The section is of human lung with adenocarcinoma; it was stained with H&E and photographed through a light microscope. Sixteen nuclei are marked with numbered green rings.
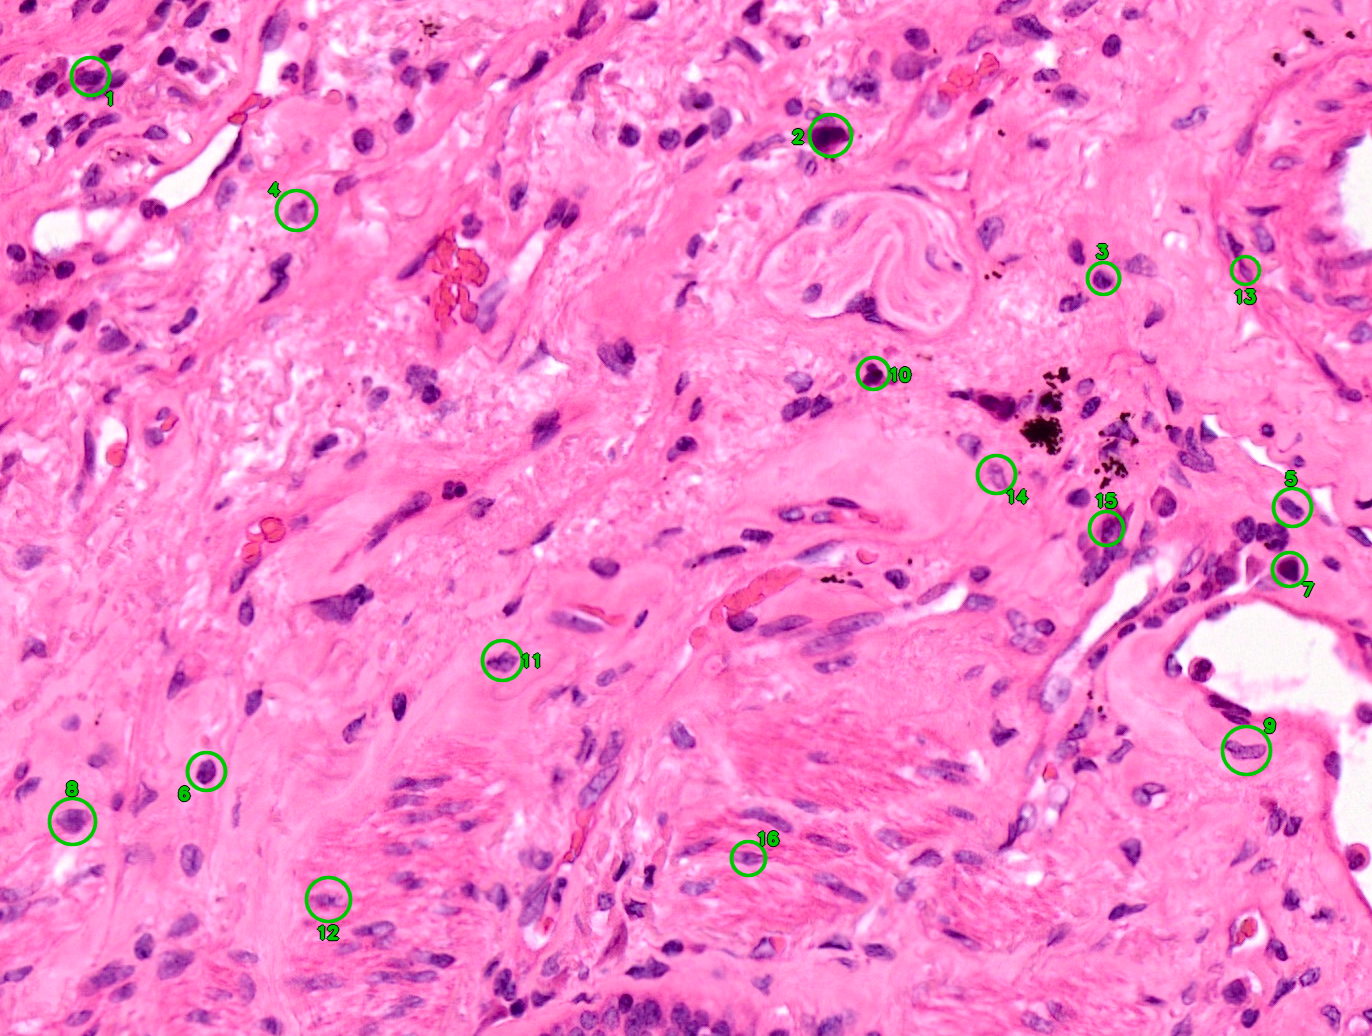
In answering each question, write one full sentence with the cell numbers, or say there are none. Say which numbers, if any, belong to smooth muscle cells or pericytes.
The cells 12, 13 and 16 in this section are smooth muscle cells or pericytes.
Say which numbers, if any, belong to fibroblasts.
Cells that were given the numbers 4, 8, 9, 11 and 14 are fibroblasts.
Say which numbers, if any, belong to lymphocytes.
In this section, the cells numbered 3, 5 and 6 are lymphocytes.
